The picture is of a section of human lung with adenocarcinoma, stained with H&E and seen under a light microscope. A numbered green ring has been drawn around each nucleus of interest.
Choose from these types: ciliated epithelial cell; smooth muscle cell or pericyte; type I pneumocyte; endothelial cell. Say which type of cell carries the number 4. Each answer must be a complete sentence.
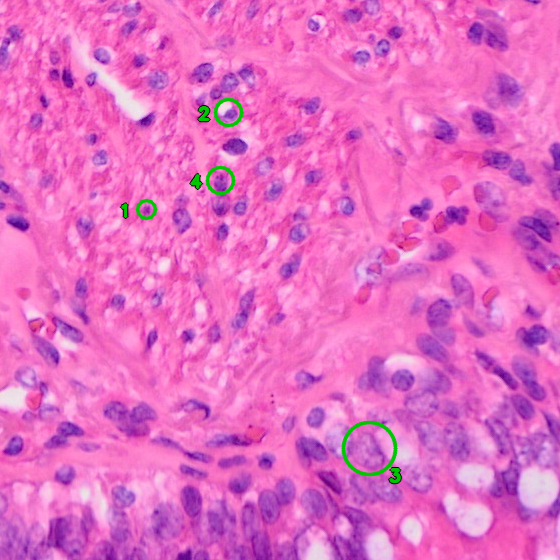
Cell 4 in the field of view is a smooth muscle cell or pericyte.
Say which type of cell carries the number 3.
The cell that is numbered 3 is a ciliated epithelial cell.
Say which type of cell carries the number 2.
The marked nucleus 2 is that of a smooth muscle cell or pericyte.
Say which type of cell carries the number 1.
The numeral 1 marks a smooth muscle cell or pericyte in this section.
